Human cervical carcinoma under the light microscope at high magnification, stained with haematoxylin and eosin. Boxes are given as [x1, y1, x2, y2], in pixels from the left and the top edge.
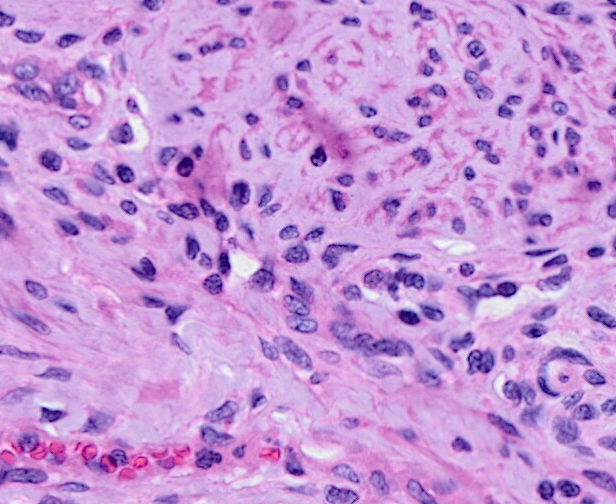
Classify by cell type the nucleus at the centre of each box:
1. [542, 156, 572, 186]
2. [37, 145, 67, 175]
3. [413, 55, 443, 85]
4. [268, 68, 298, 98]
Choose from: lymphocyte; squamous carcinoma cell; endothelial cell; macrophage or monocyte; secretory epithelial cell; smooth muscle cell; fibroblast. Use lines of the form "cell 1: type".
cell 1: smooth muscle cell
cell 2: lymphocyte
cell 3: smooth muscle cell
cell 4: smooth muscle cell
